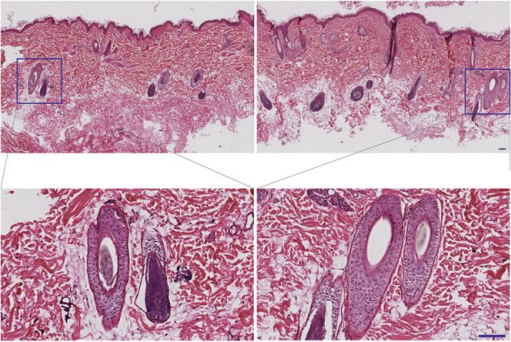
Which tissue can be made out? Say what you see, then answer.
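A thin, dark purple epithelial layer lines the top edge. Below it lies a thick layer of pink fibrous connective tissue. Purple epithelial structures with central shafts sit within the fibrous layer. That points to this answer: skin tissue.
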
